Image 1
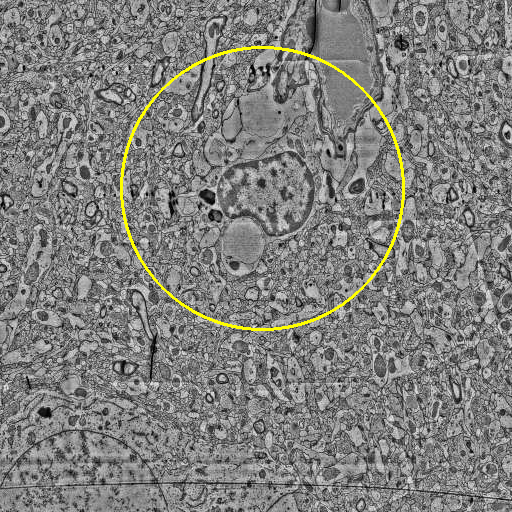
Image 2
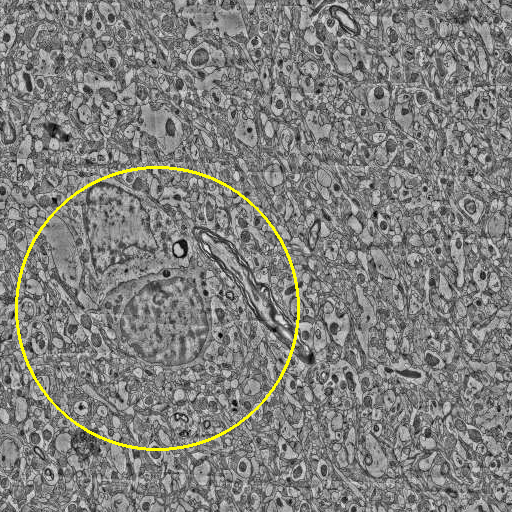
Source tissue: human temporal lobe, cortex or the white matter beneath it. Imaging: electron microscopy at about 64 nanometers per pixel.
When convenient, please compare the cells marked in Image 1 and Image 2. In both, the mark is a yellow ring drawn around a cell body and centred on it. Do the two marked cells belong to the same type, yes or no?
no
